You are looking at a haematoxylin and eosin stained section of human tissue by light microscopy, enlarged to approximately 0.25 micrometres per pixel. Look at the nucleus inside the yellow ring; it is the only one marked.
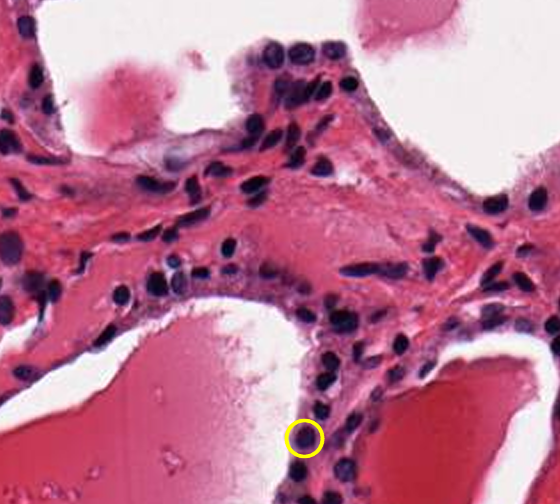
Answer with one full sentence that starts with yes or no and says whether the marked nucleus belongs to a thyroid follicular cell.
Yes, a thyroid follicular cell is what the marked nucleus belongs to.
